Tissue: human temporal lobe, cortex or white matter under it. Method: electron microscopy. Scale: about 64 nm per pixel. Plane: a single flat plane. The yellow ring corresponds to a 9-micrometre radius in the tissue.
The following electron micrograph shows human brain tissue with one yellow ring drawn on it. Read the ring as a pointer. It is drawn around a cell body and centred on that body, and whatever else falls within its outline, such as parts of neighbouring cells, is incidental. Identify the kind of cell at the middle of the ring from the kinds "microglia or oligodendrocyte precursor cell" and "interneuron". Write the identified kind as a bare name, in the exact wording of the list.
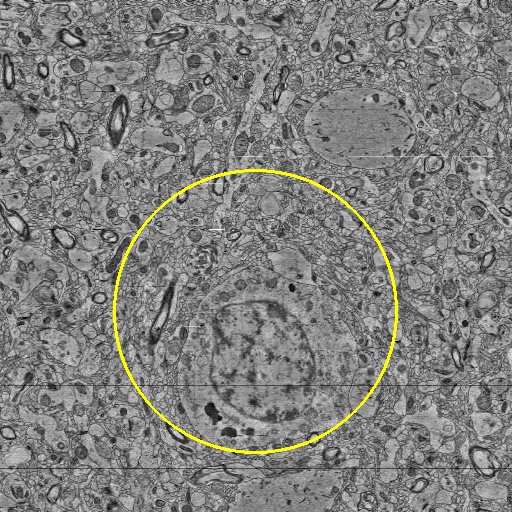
interneuron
